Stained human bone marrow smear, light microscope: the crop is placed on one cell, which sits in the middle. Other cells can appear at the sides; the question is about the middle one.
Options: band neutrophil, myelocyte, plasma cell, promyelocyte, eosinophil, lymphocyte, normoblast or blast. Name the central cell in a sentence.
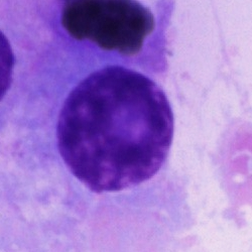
In this smear crop, the middle cell is a plasma cell.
